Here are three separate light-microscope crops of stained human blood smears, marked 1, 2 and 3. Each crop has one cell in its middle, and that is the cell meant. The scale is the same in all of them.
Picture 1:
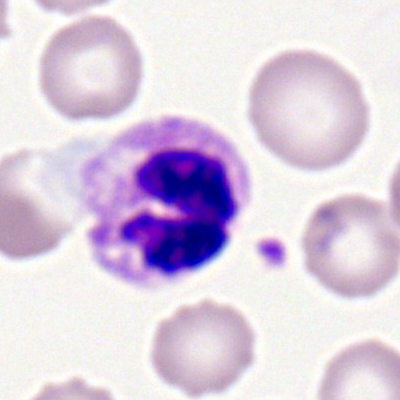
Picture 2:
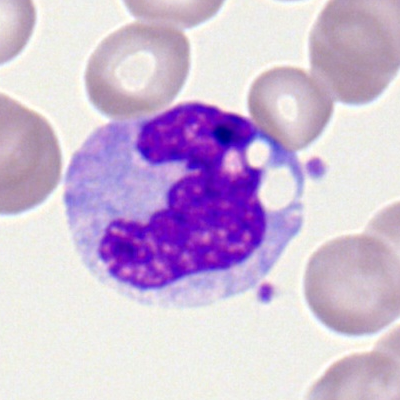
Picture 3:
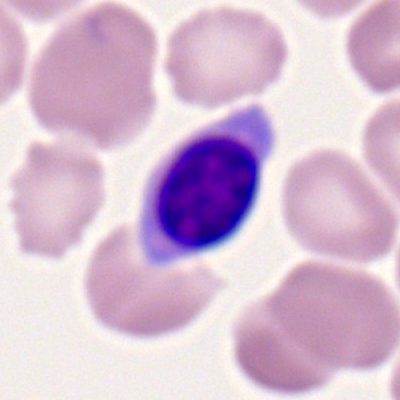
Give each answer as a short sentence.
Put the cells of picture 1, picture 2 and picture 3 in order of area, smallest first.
The order is 3, 1, 2, beginning with the smallest.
